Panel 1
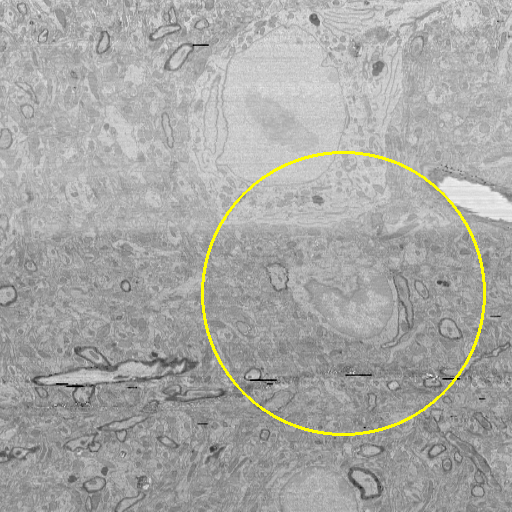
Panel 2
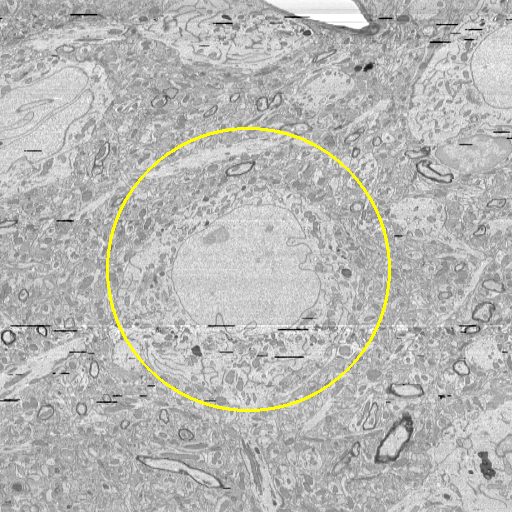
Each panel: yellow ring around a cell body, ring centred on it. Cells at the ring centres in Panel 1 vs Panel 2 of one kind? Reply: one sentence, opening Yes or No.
No, Panel 1 and Panel 2 have cells of two kinds at the ring centres.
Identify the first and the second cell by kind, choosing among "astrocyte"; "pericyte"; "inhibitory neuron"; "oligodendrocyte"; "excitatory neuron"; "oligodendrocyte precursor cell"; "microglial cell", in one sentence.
The one in the first picture is an oligodendrocyte, while the one in the second is an excitatory neuron.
